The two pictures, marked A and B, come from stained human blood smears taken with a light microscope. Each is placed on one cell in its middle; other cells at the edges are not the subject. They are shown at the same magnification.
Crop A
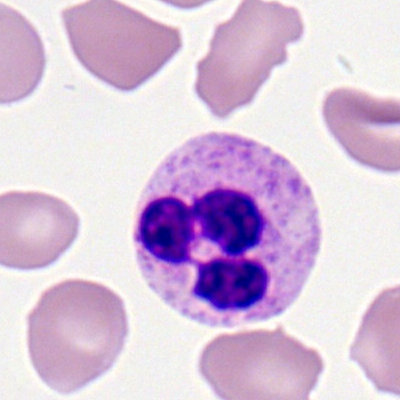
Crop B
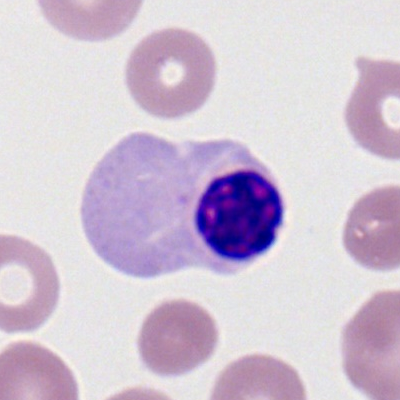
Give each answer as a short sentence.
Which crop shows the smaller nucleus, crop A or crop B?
The nucleus in crop B is smaller; the one in crop A has about 1.5 times its area.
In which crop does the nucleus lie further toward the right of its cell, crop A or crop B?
It is the nucleus in crop B that lies further toward the right of its cell.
